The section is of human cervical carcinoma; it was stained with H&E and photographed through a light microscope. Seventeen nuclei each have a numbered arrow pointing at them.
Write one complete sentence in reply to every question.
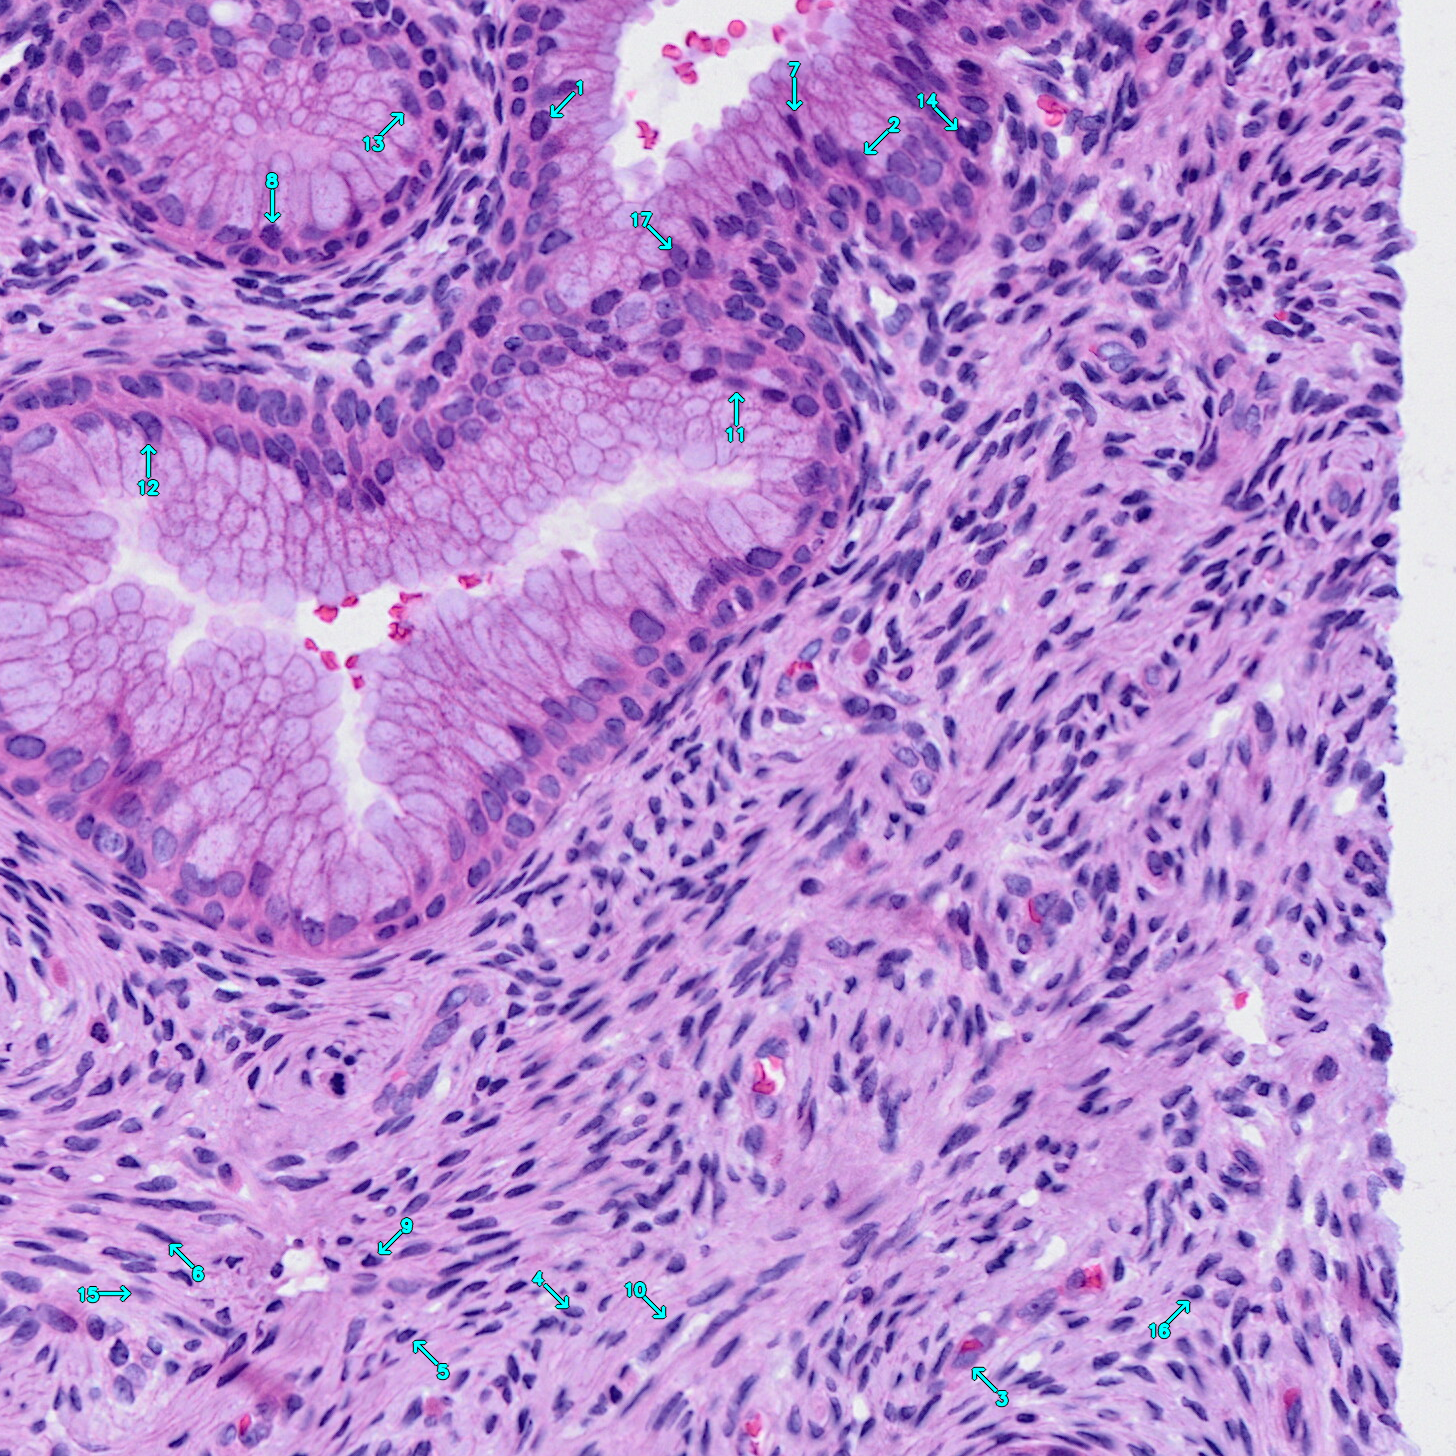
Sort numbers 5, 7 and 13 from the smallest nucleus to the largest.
The order from the smallest nucleus to the largest is 5, 7, 13.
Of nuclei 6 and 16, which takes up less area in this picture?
The smaller nucleus is 16, and 6 covers roughly 1.5 times its area.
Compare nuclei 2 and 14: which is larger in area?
Of the two, number 2 is bigger and takes up about 2 times the area of number 14.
